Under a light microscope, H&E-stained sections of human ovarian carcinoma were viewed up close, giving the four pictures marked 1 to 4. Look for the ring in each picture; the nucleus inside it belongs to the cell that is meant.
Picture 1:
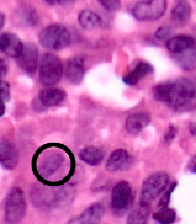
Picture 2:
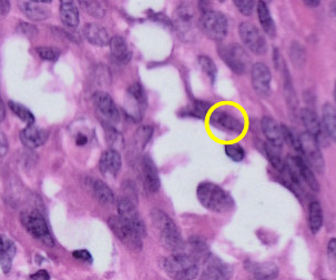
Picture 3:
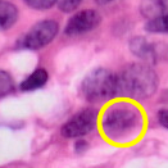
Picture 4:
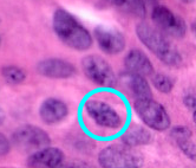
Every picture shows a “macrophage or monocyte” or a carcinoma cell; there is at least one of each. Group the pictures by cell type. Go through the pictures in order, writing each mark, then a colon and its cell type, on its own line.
1: carcinoma cell
2: carcinoma cell
3: carcinoma cell
4: macrophage or monocyte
